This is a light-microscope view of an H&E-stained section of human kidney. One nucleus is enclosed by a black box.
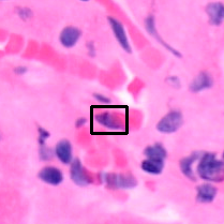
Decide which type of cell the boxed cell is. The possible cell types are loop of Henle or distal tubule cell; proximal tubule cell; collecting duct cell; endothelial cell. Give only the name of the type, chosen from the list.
endothelial cell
